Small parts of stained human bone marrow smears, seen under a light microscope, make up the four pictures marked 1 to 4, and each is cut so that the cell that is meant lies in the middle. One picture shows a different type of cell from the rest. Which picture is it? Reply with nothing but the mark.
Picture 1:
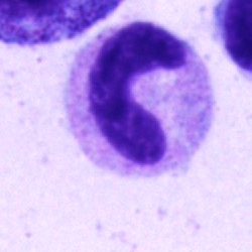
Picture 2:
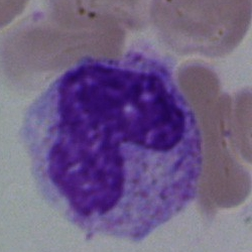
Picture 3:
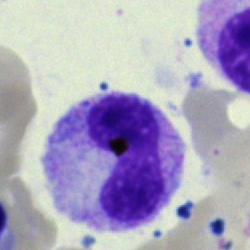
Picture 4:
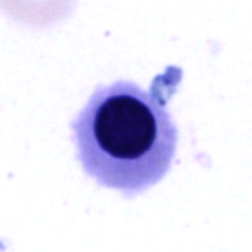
4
